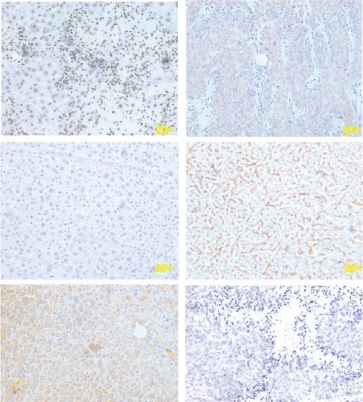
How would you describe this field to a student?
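Sections of liver showing polygonal hepatocyte-like cells in plates, with round nuclei counterstained blue. In some fields brown stain lies in scattered dots that match nuclei, in others it outlines cell borders as thin brown lines, and in others it fills the cytoplasm diffusely. Some fields hold dense clusters of small blue nuclei.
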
